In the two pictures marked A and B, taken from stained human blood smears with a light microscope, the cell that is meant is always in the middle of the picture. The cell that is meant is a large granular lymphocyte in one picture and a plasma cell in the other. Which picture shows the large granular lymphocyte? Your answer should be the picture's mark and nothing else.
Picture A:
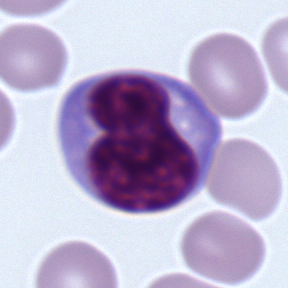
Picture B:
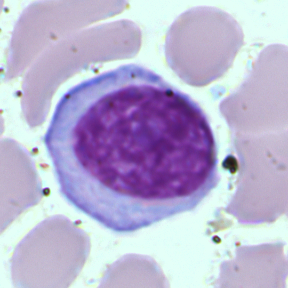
A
